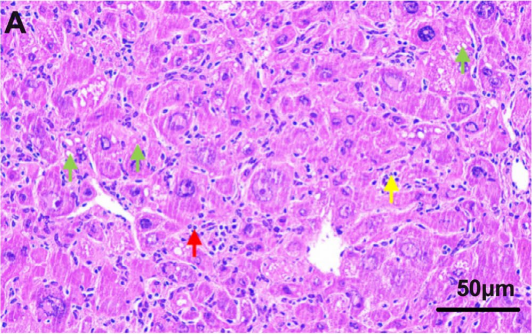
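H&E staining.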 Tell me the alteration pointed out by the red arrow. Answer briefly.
Inflammatory cell infiltration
